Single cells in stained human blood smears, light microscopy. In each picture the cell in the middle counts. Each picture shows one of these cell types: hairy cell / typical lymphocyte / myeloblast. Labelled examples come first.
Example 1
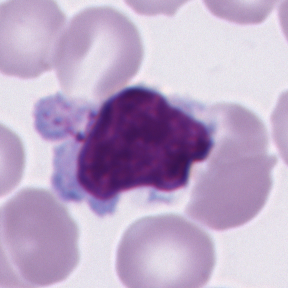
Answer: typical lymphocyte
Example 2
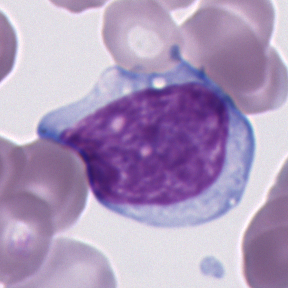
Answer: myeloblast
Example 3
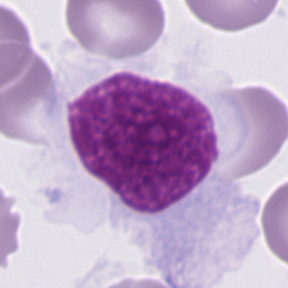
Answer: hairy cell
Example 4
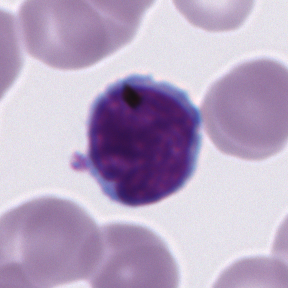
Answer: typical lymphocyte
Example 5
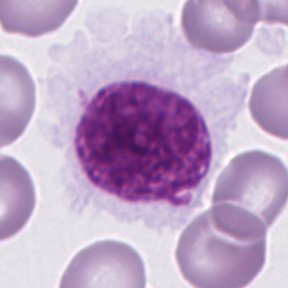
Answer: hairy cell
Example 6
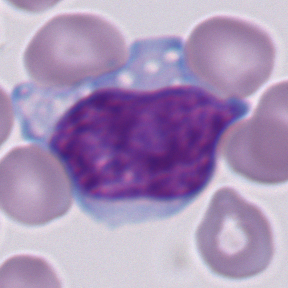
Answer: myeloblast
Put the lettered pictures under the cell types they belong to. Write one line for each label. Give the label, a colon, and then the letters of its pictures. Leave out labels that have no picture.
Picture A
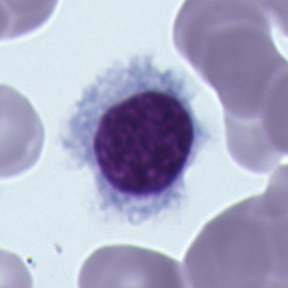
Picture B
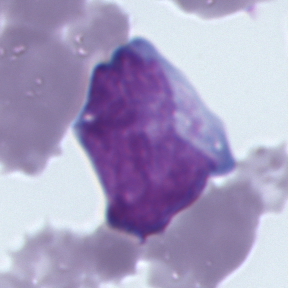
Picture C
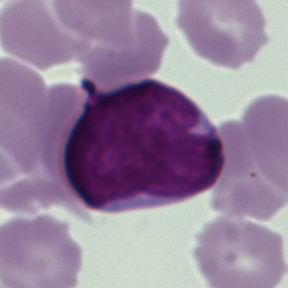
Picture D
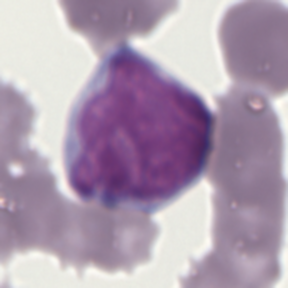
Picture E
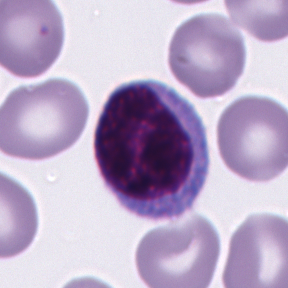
hairy cell: A
typical lymphocyte: E
myeloblast: B, C, D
